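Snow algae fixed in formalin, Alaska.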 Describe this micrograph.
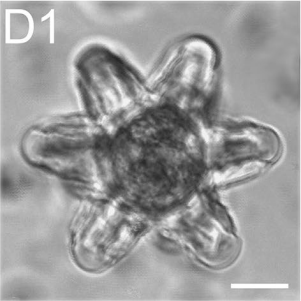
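A round, dark, finely granular protoplast lies at the centre. Around it the transparent wall extends outward into about six radiating arms, each broad at the base and rounded at the tip, with longitudinal folds or ridges visible along their length. The arms are of similar length and spaced fairly evenly around the cell. Background is pale and slightly blotchy.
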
